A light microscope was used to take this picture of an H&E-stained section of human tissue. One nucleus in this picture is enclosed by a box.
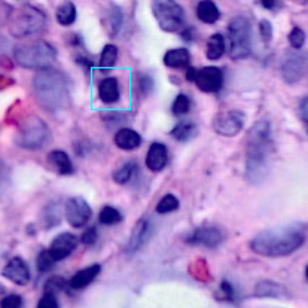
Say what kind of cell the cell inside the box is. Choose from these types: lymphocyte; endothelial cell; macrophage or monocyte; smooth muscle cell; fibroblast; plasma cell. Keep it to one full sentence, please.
At the level of cell identity, the cell inside the box is a lymphocyte.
